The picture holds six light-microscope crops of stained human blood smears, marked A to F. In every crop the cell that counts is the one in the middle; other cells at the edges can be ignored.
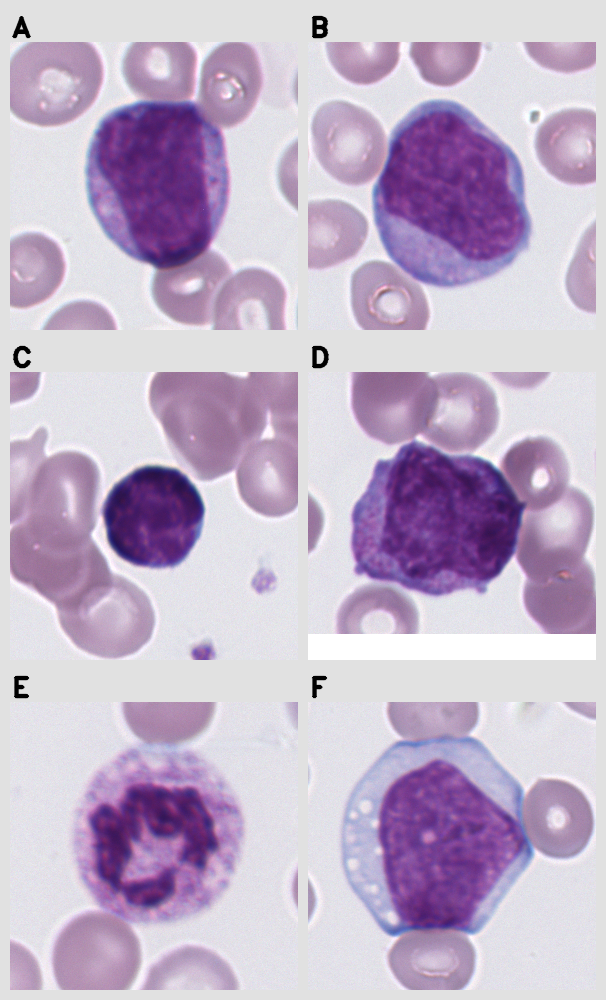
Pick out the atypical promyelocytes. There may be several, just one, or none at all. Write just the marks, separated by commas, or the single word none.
A, B, D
